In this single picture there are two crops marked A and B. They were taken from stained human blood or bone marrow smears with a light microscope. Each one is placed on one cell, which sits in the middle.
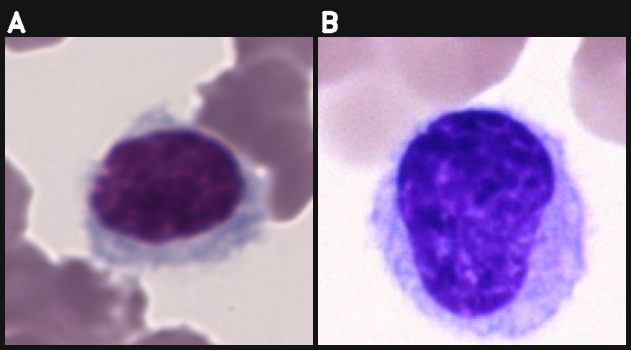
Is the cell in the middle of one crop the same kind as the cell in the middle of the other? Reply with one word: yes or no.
yes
